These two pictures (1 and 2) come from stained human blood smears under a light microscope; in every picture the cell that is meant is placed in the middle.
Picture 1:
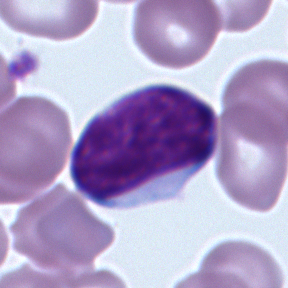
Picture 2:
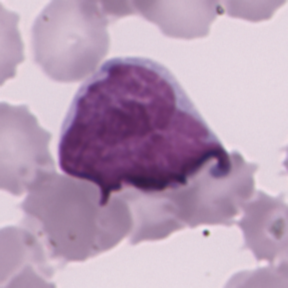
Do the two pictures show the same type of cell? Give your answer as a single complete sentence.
Yes, they are the same type: both are myeloblasts.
